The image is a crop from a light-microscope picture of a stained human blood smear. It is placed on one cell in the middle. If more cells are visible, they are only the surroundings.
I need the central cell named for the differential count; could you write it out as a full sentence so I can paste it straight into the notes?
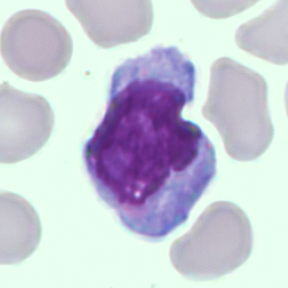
Centrally within this crop lies a plasma cell.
